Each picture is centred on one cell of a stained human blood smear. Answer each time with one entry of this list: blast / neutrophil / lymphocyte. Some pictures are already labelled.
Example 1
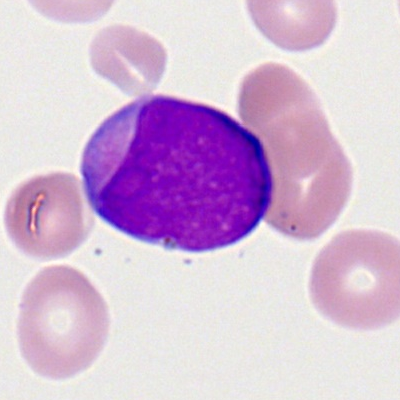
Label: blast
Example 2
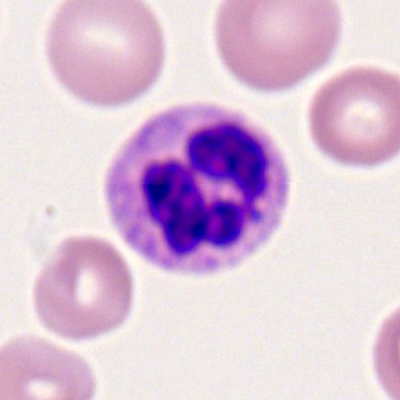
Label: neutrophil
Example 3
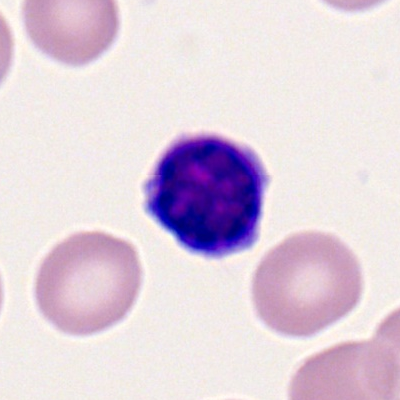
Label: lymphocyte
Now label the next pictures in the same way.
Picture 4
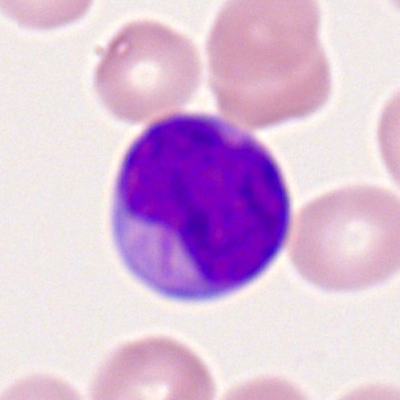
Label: blast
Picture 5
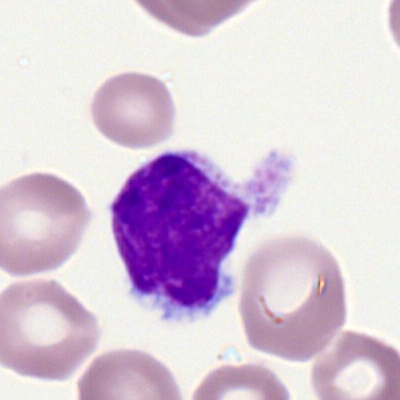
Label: lymphocyte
